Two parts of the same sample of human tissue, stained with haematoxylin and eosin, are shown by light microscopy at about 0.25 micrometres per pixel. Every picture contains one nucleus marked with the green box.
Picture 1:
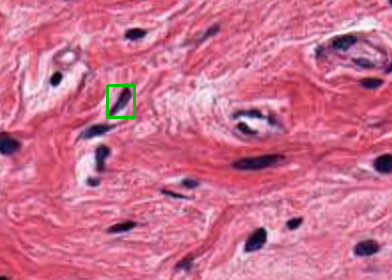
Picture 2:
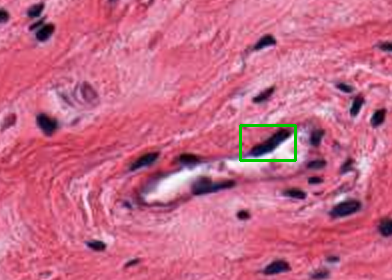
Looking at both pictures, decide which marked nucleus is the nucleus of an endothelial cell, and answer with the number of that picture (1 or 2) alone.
2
